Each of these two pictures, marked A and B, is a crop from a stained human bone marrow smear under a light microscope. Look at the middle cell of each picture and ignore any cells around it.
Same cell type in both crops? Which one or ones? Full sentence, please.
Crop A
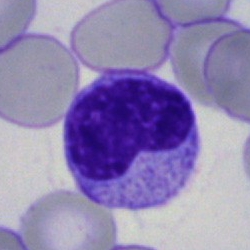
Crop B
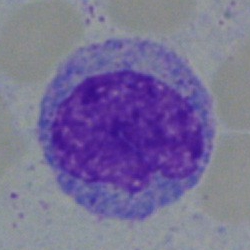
No, the cell centred in crop B is a monocyte; crop A centres on a metamyelocyte.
